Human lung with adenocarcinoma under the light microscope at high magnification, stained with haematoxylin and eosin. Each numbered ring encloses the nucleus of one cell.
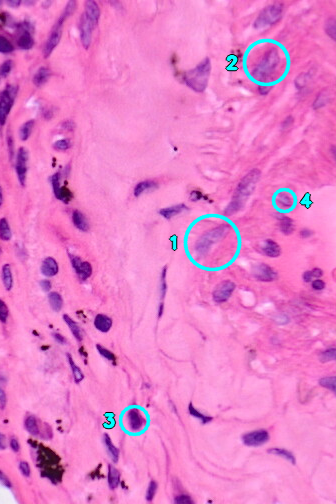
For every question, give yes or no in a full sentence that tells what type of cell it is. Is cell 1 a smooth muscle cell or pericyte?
Yes, the numbered nucleus 1 is that of a smooth muscle cell or pericyte.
